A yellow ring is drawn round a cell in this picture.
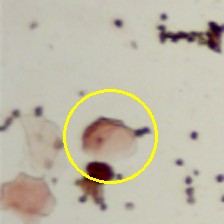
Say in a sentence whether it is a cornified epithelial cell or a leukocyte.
The cell in the ring is a cornified epithelial cell.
